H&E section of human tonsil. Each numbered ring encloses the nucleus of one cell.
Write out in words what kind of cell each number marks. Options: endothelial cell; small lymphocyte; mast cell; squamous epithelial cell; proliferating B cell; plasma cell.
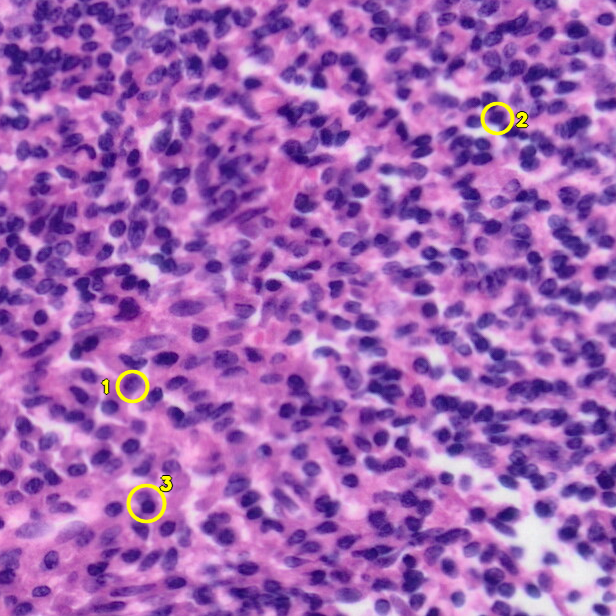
Cells 1 and 3 are plasma cells. Cell 2 is a small lymphocyte.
